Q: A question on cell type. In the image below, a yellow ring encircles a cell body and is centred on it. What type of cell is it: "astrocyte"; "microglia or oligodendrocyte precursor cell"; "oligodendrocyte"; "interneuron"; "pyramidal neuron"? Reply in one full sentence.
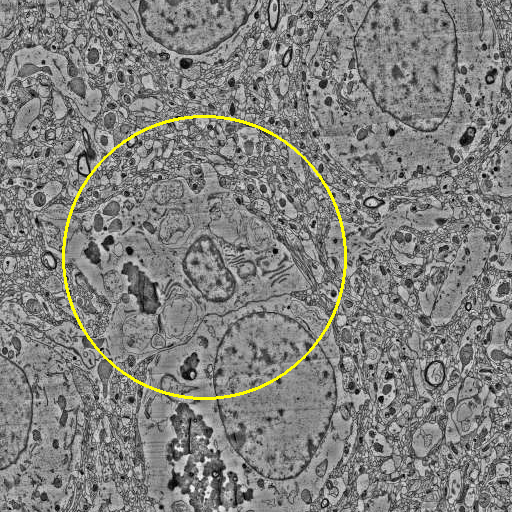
It is an astrocyte whose cell body sits at the centre of the yellow ring in the image.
